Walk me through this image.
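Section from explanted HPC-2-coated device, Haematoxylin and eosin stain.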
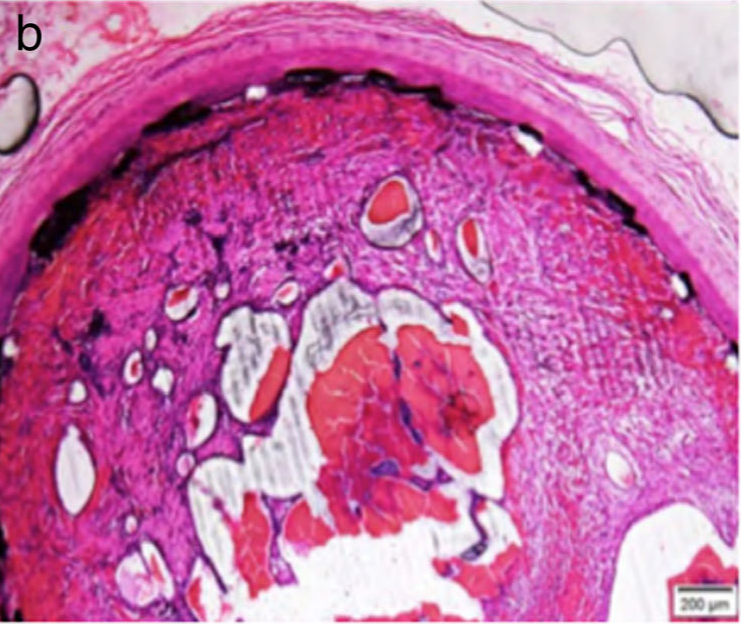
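Outside the wires lies a smooth pink fibrous layer. Within the filled lumen are several rounded spaces containing red blood cells, and a large irregular cavity holding red clot material. Dark purple nuclei are scattered through the tissue, including near the wires.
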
